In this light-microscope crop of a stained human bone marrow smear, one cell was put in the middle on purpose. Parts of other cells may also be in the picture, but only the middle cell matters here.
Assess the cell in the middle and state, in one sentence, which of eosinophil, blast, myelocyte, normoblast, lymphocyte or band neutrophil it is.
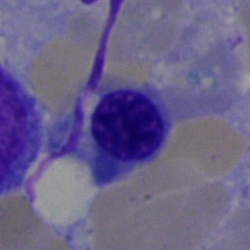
Present in the middle of the crop is a normoblast.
